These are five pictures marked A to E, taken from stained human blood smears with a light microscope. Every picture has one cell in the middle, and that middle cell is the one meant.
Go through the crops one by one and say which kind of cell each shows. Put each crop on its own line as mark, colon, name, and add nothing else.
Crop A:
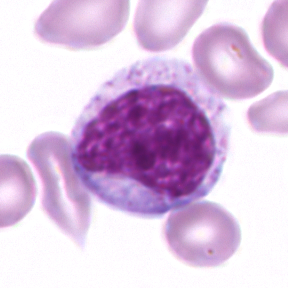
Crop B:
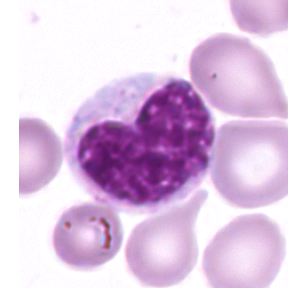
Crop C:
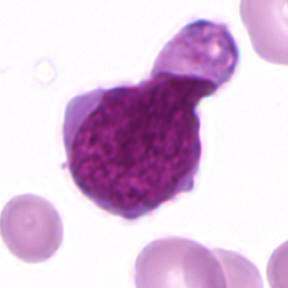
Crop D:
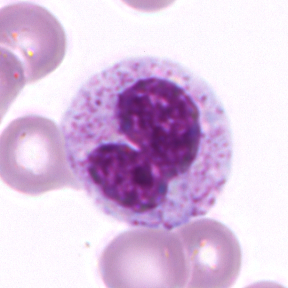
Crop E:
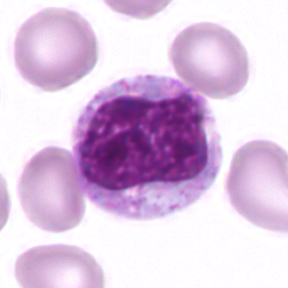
A: metamyelocyte
B: metamyelocyte
C: atypical promyelocyte
D: band neutrophil
E: metamyelocyte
